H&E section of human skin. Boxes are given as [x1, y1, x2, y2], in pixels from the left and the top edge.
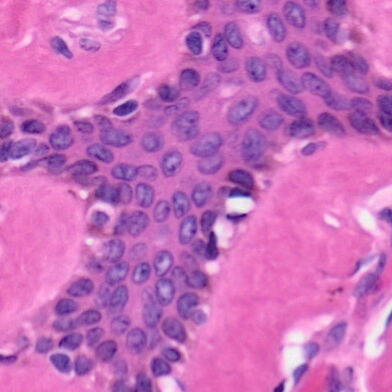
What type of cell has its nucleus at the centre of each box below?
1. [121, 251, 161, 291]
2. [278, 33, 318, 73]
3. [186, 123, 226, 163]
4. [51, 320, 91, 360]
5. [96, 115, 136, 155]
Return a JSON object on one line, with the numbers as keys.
{"1": "suprabasal keratinocyte", "2": "suprabasal keratinocyte", "3": "suprabasal keratinocyte", "4": "basal keratinocyte", "5": "basal keratinocyte"}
